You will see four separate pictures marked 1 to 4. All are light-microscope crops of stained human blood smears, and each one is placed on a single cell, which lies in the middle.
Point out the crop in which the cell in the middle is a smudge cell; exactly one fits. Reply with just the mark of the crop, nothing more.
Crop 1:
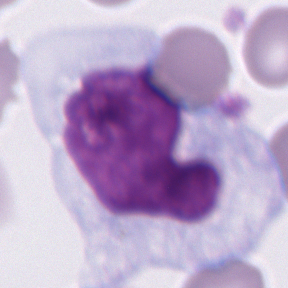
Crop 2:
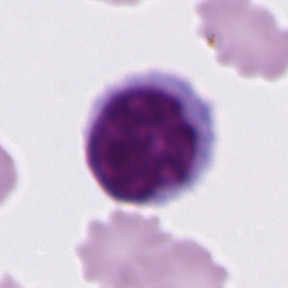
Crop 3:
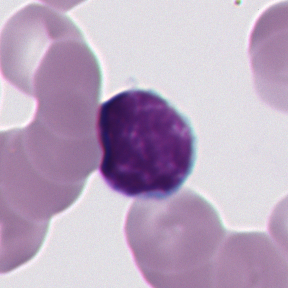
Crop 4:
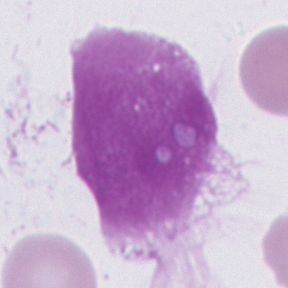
4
